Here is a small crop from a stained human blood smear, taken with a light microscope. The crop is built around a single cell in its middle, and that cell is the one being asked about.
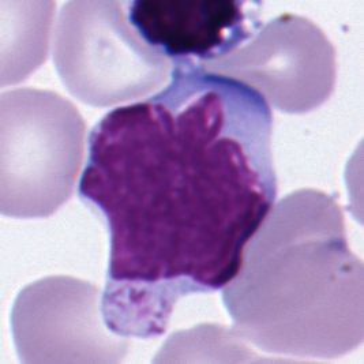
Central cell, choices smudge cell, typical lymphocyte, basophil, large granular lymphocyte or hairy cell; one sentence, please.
The cell at the central position in this crop is a large granular lymphocyte.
